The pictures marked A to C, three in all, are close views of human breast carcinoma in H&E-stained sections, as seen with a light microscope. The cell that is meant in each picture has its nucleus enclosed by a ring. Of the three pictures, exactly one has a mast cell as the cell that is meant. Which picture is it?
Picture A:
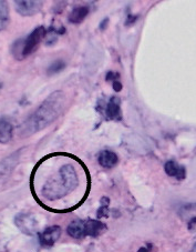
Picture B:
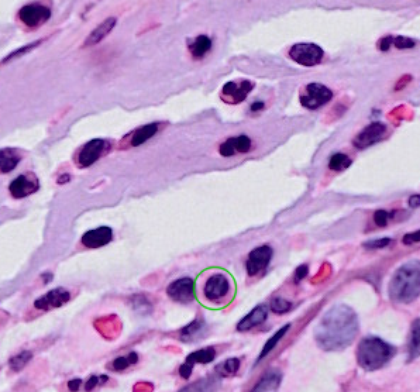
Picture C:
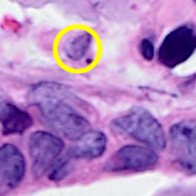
B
